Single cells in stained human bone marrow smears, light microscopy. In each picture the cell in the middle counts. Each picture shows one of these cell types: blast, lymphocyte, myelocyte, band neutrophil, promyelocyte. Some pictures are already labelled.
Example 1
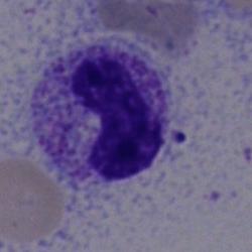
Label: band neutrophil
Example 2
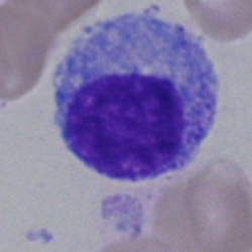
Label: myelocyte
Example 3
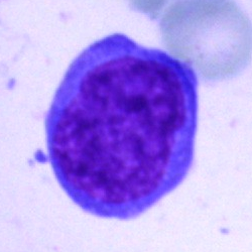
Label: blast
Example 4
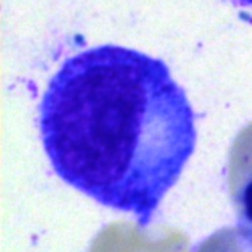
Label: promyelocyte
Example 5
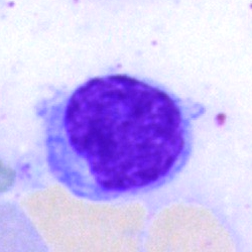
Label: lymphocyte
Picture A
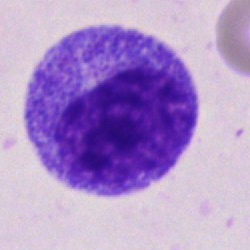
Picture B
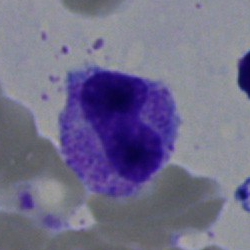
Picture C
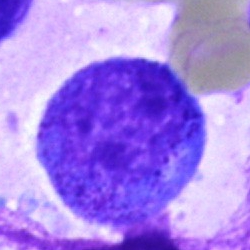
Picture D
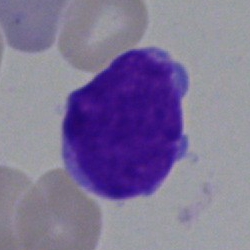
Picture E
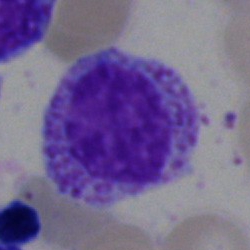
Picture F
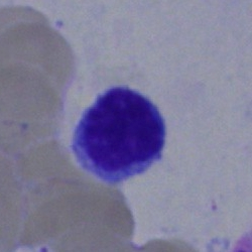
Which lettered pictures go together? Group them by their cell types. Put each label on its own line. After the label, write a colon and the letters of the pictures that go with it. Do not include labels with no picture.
blast: D
lymphocyte: F
myelocyte: A, E
band neutrophil: B
promyelocyte: C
